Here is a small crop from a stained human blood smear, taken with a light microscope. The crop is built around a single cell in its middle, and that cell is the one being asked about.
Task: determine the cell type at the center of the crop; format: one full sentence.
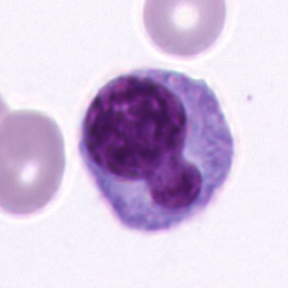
For this crop, the central cell is a plasma cell.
